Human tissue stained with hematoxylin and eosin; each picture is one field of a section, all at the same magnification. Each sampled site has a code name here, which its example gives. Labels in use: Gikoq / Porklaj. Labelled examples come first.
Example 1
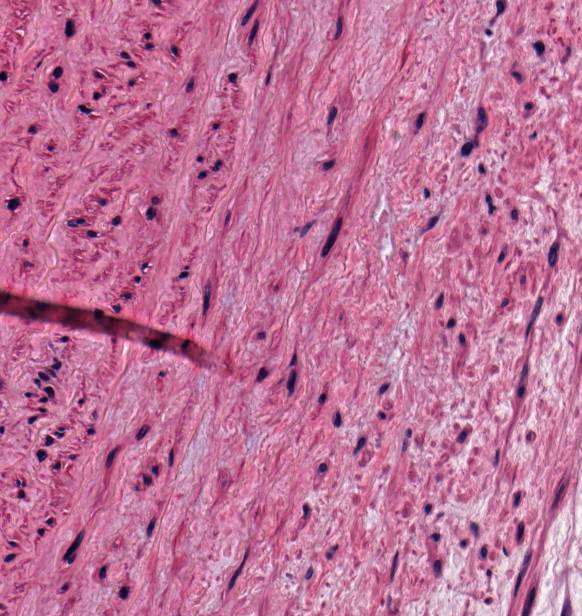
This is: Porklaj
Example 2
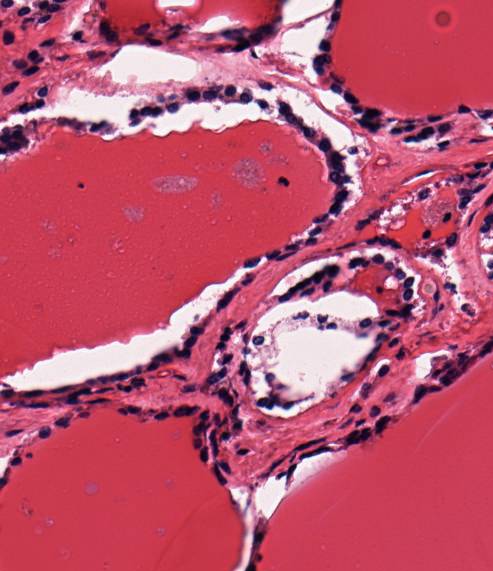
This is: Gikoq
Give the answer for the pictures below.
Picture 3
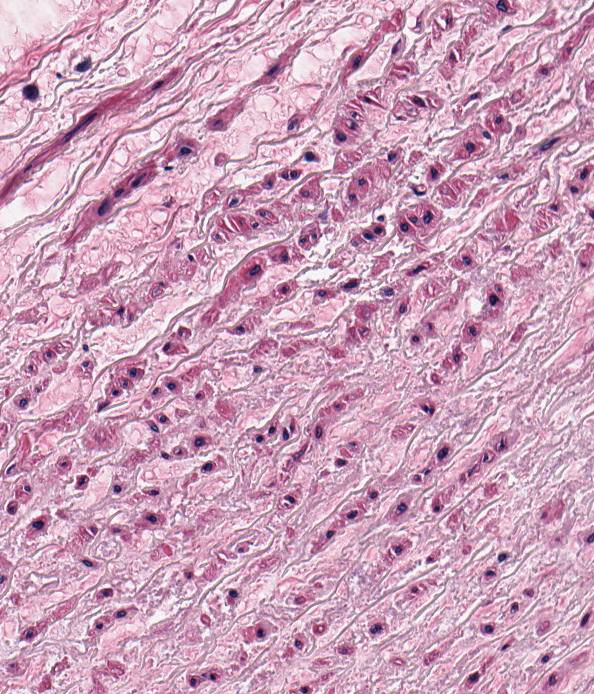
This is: Porklaj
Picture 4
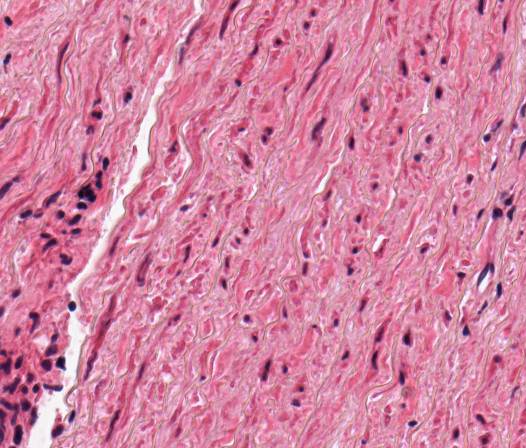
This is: Porklaj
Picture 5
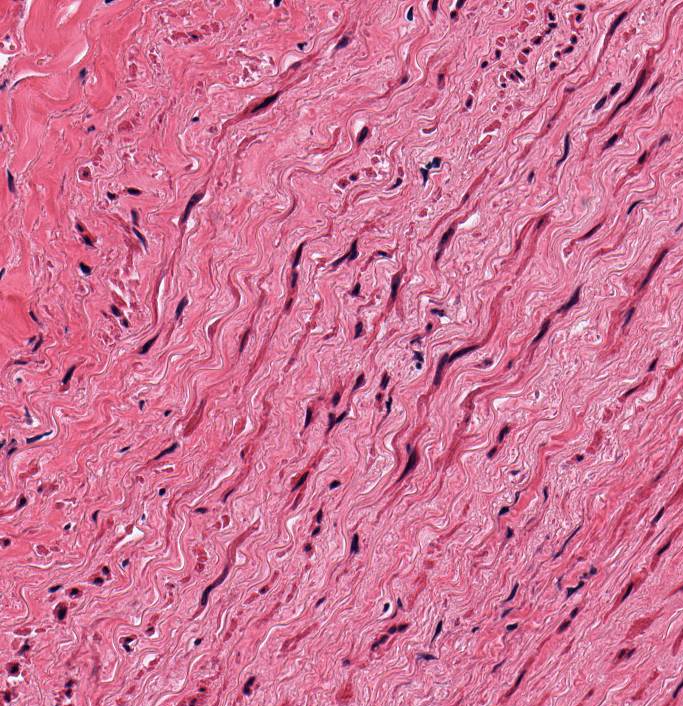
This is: Porklaj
